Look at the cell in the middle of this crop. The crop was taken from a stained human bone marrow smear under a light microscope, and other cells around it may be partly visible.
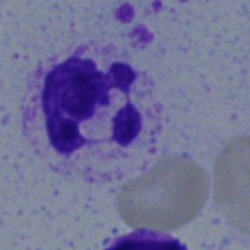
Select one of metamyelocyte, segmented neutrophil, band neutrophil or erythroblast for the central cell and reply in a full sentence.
Among the cells in view, the one in the middle is a segmented neutrophil.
